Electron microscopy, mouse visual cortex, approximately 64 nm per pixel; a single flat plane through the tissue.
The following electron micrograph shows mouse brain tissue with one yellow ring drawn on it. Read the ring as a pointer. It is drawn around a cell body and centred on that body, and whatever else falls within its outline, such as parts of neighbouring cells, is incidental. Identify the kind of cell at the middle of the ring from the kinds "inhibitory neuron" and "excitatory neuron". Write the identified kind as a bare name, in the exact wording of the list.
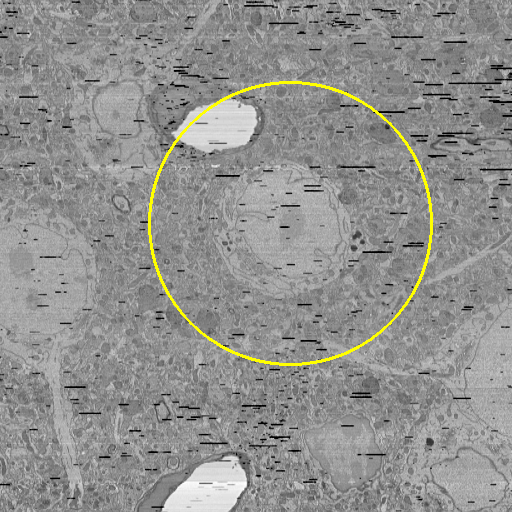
inhibitory neuron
